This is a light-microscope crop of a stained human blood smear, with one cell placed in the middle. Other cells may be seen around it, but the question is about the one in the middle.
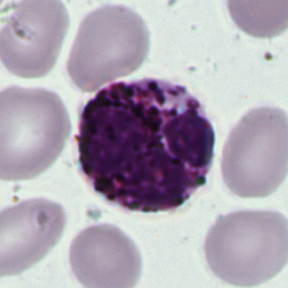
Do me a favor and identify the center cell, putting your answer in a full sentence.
The cell around which this crop is centred is a basophil.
